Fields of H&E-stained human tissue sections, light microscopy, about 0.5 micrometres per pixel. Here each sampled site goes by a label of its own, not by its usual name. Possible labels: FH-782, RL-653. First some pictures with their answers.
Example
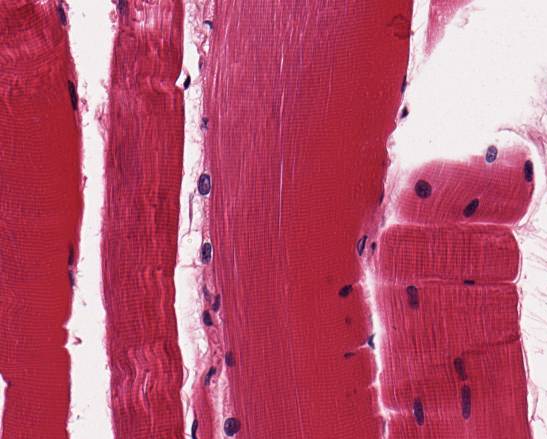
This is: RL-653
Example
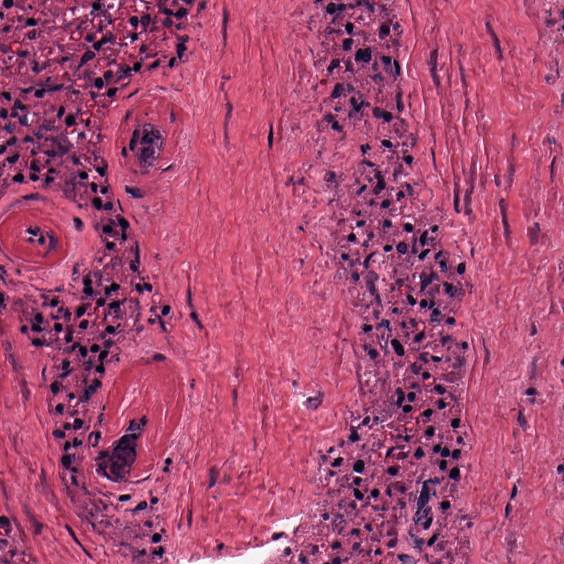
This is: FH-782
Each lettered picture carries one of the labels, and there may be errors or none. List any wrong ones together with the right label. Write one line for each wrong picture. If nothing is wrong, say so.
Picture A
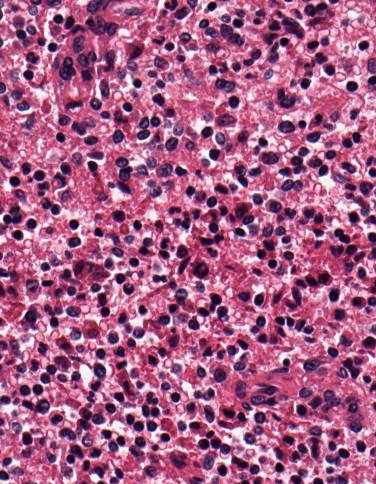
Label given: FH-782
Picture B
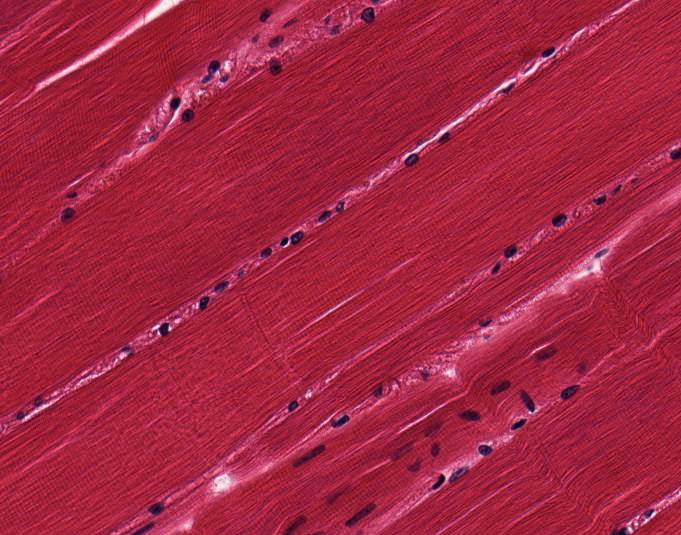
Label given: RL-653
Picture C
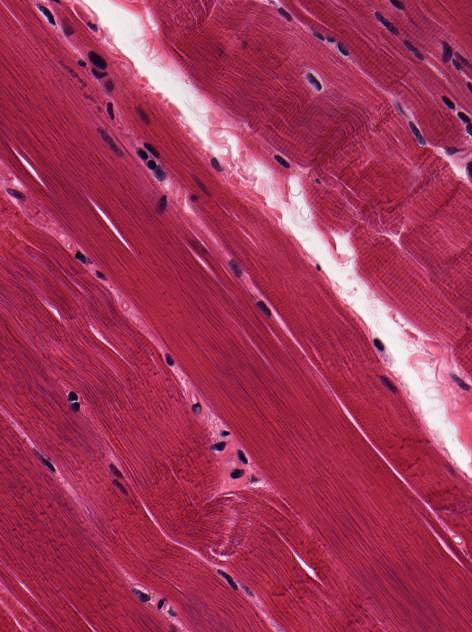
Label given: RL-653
Nothing to fix; every label fits.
